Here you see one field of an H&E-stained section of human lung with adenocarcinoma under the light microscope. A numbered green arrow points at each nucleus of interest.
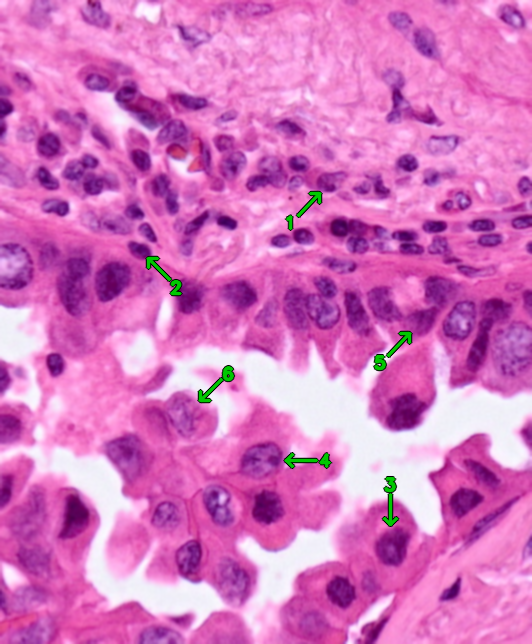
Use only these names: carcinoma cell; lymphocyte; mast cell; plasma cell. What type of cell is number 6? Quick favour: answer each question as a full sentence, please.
It is as a carcinoma cell that the cell numbered 6 is identified.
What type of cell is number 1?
The cell pointed out as number 1 is a plasma cell.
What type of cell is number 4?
Cell 4 of the marked set is a carcinoma cell.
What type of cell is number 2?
Cell 2 should be recorded as a lymphocyte.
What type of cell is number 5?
Among the marked cells, number 5 is a carcinoma cell.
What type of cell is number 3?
Of the numbered cells, the one labelled 3 is a carcinoma cell.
